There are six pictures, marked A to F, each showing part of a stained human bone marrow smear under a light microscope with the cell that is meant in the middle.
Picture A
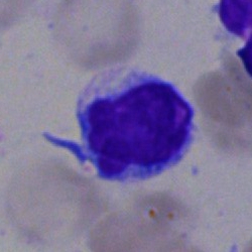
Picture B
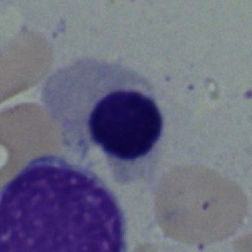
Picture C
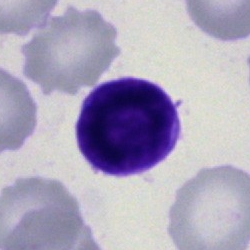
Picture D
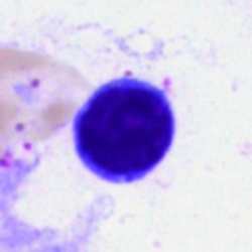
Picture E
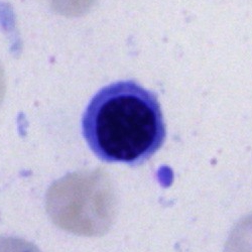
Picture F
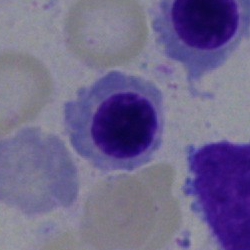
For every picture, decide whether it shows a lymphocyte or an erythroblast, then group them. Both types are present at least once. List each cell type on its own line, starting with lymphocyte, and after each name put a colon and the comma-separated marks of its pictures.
lymphocyte: A, C, D
erythroblast: B, E, F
